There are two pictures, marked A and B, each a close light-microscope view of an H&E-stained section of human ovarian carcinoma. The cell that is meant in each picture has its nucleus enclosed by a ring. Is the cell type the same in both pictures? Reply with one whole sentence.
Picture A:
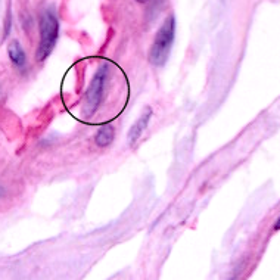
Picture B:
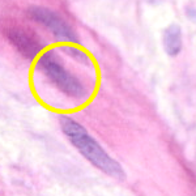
No, they differ: the cell is an endothelial cell in picture A and a smooth muscle cell in picture B.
